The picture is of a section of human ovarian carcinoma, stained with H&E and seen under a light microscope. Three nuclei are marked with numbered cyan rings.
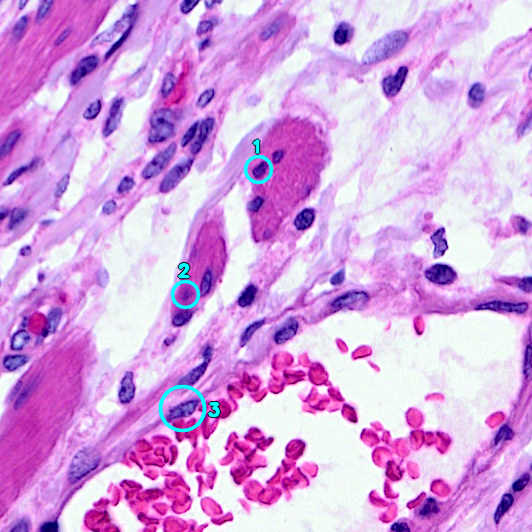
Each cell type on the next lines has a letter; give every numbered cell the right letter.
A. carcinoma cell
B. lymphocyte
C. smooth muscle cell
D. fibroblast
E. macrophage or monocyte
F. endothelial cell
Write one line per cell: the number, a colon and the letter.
1: C
2: C
3: F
